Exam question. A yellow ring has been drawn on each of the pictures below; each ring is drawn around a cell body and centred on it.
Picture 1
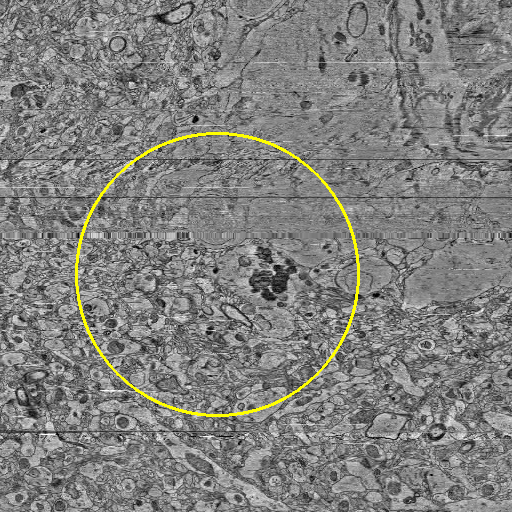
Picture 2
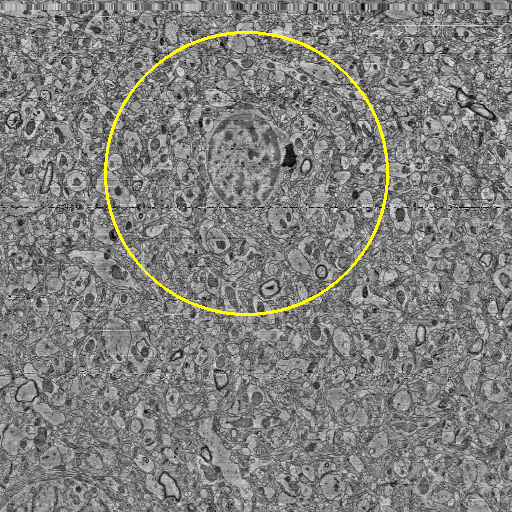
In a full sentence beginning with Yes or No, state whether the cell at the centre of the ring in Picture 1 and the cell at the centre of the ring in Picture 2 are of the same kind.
Yes, the two cells are of the same kind.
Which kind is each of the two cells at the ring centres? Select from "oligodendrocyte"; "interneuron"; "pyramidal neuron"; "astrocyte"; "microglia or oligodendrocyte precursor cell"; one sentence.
Each cell, in the first picture and the second, is an oligodendrocyte.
